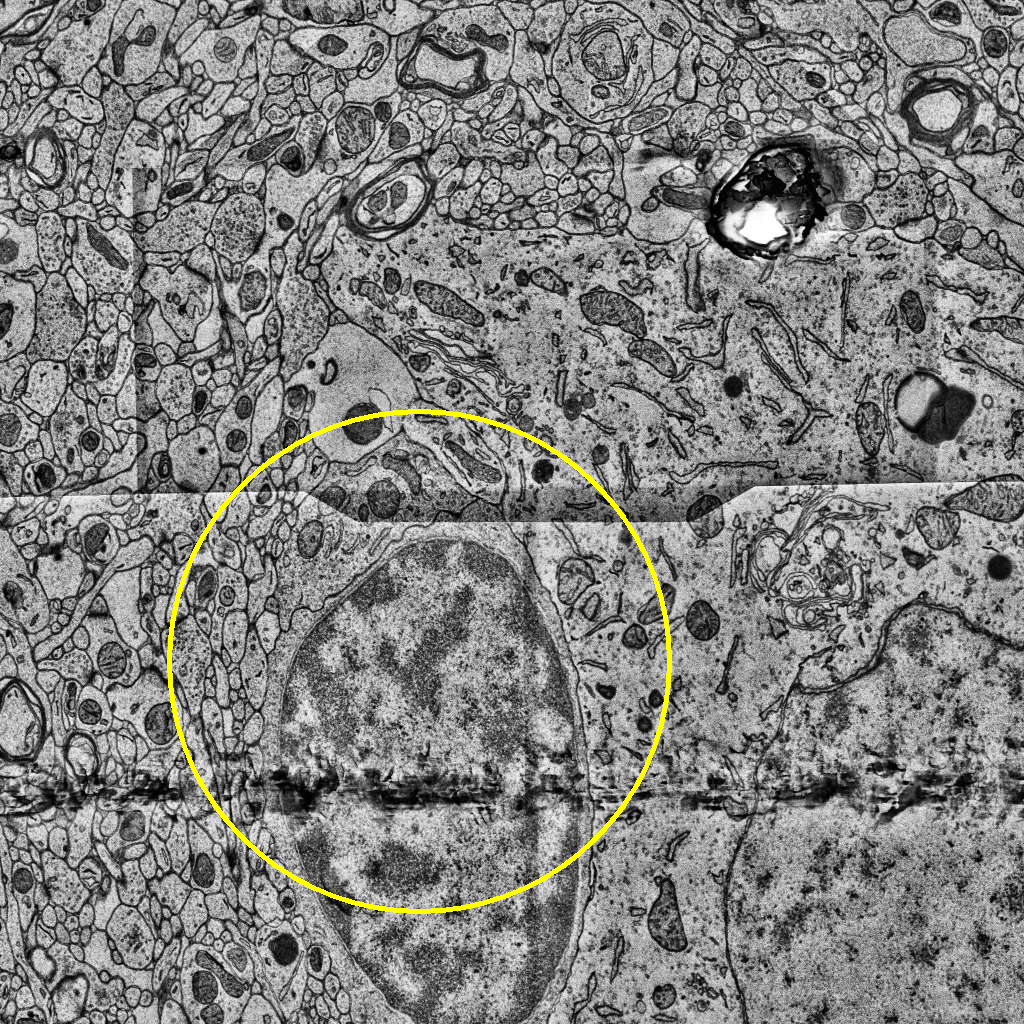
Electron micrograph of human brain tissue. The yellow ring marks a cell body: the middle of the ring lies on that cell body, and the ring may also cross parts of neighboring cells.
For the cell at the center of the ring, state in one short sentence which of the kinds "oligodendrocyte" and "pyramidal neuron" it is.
This ring's center lies on an oligodendrocyte.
